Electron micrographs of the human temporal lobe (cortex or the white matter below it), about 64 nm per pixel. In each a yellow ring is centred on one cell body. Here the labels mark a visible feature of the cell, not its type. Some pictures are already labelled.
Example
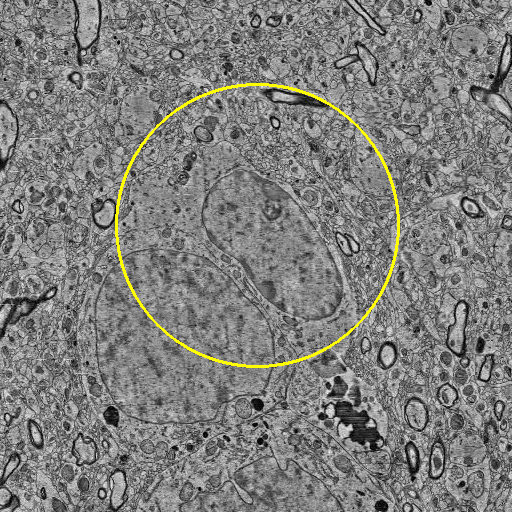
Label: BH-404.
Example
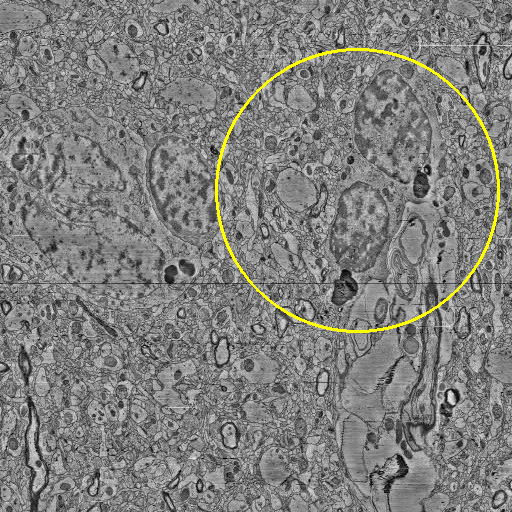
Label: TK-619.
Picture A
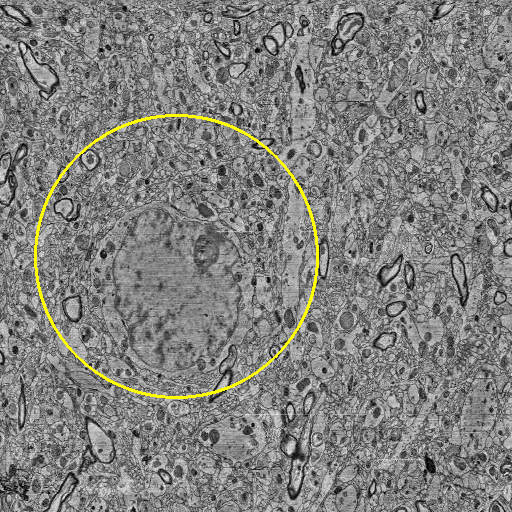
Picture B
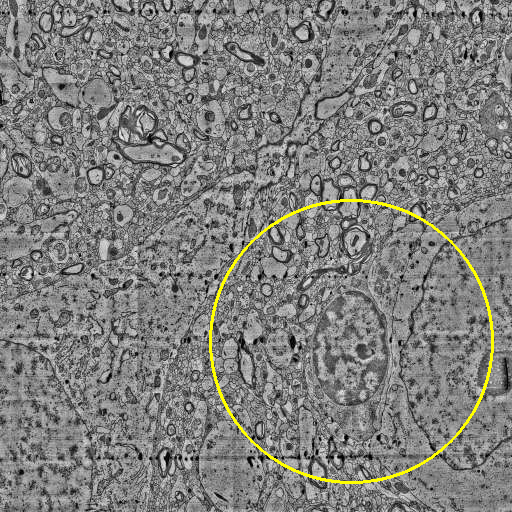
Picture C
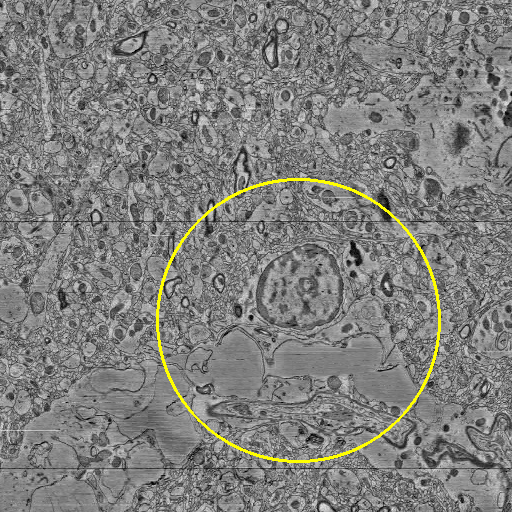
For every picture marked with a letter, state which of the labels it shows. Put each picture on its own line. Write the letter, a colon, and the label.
A: BH-404.
B: BH-404.
C: BH-404.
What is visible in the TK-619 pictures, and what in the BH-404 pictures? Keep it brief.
TK-619: no nucleolus seen; BH-404: nucleolus seen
